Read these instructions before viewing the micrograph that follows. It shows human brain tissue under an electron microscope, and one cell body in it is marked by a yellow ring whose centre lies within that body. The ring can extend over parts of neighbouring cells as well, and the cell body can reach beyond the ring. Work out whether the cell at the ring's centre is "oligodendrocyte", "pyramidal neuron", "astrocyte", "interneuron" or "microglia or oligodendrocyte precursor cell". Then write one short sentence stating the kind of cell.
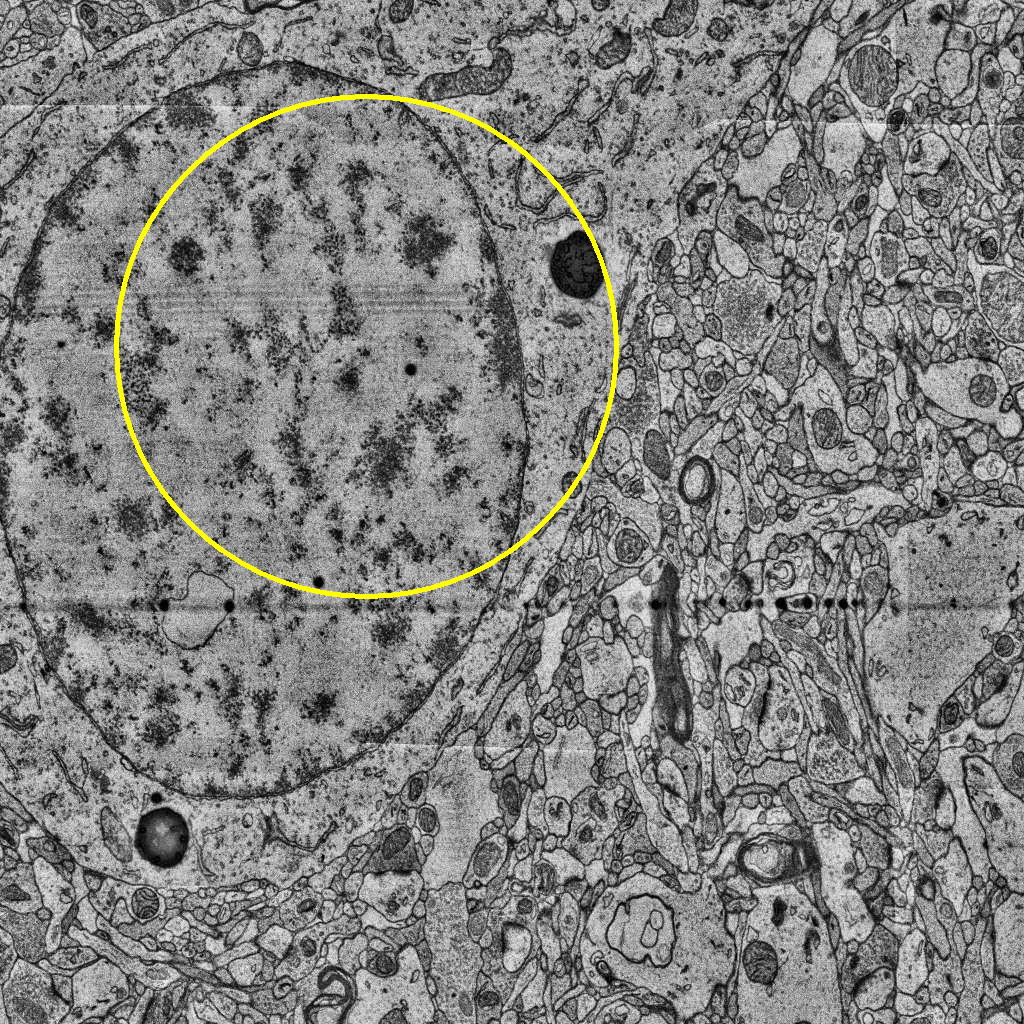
The cell at the ring's centre is a pyramidal neuron.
